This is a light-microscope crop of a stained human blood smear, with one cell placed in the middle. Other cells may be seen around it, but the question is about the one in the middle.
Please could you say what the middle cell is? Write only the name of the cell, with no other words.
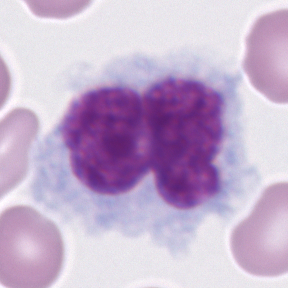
hairy cell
